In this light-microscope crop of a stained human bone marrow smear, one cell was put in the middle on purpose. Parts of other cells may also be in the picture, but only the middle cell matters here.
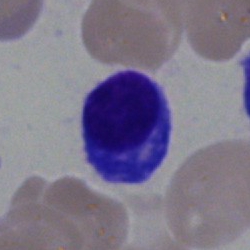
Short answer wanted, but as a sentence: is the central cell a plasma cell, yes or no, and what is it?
Yes, the cell in the centre is a plasma cell.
